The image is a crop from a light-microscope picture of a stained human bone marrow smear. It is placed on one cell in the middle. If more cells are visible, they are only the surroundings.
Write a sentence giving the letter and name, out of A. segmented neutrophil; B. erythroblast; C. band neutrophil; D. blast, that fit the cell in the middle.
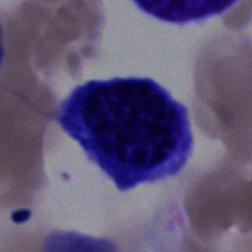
The cell placed in the middle is an erythroblast; option B is correct.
